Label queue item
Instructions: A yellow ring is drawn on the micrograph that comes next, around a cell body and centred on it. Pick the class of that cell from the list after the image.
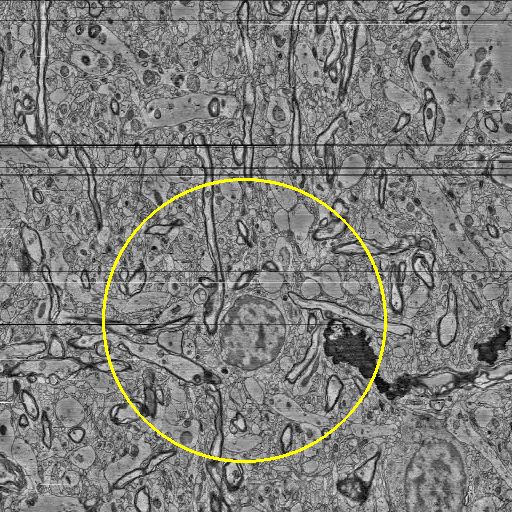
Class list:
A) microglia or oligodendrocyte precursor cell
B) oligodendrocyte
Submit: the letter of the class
A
